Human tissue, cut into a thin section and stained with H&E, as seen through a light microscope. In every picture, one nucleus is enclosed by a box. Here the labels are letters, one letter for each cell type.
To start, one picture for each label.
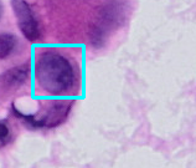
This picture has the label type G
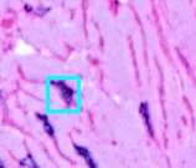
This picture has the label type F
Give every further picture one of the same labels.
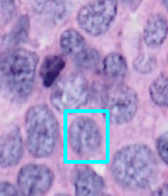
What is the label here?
type G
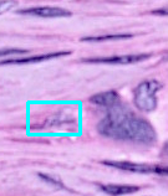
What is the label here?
type F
